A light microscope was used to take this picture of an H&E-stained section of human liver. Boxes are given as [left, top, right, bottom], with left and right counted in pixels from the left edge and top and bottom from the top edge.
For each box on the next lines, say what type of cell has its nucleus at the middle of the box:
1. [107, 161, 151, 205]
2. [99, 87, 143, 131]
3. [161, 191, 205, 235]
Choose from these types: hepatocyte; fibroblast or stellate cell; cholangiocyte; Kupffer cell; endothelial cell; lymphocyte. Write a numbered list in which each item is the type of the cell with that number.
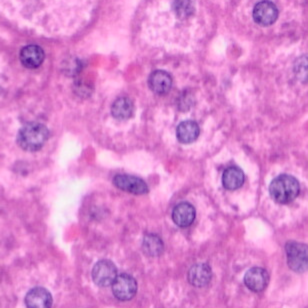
1. Kupffer cell
2. hepatocyte
3. hepatocyte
